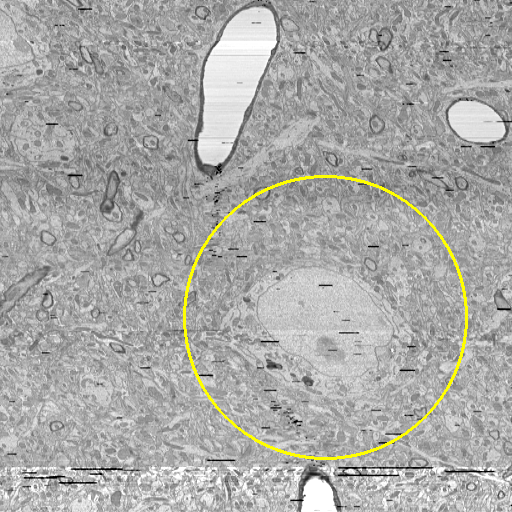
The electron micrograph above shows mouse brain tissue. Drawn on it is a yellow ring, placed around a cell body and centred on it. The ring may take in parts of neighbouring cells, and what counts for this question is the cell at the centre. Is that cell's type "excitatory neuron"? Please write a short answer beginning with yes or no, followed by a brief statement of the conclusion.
Yes, its type is the one named.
